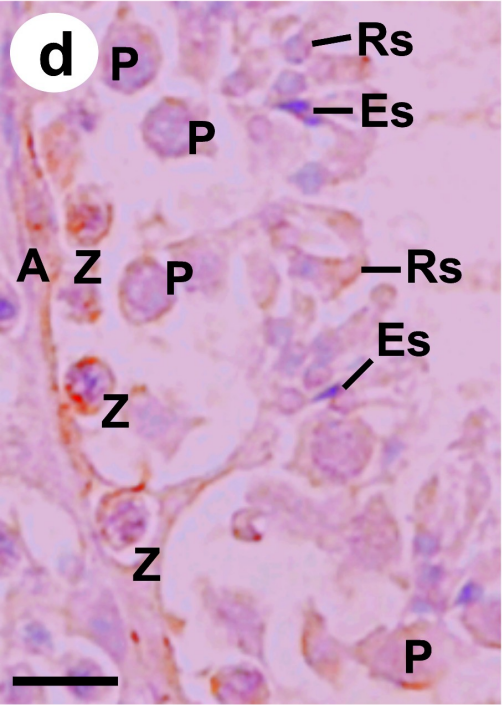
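This is seminiferous epithelium of a testis with germ cells at several stages of spermatogenesis. Near the basal edge of the tubule lie cells with rounded nuclei and brown-stained cytoplasm, while further in are large spermatocytes with big round nuclei of granular chromatin. Toward the lumen are small round spermatids and elongated spermatids whose slender heads stain dark blue. The brown stain is strongest in the cells close to the tubule wall and weak in the cells nearer the lumen.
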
